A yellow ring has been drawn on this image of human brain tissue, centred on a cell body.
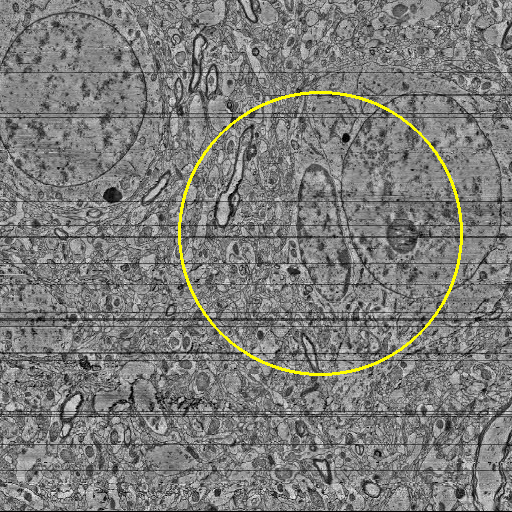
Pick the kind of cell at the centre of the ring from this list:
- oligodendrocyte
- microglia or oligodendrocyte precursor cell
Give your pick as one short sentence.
The centre of the ring holds a microglial cell or oligodendrocyte precursor cell.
